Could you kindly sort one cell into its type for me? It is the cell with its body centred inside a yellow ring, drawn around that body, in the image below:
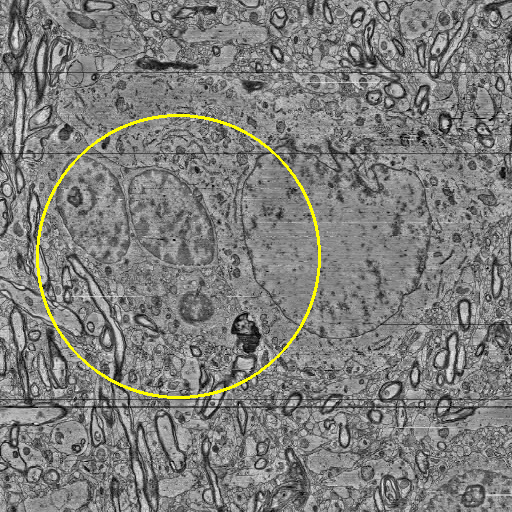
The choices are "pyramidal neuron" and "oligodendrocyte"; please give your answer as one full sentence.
The cell whose body lies centred in the yellow ring here is an oligodendrocyte.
